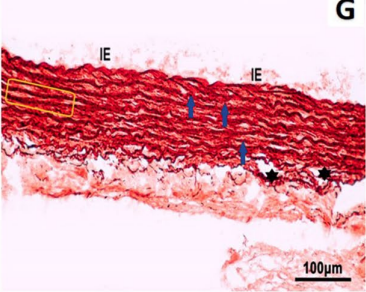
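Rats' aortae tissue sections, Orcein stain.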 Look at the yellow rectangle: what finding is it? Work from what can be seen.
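Inside the rectangle the dark sheets run straighter, with less waviness than elsewhere.
Hence: regional flattening of elastic lamellae.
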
